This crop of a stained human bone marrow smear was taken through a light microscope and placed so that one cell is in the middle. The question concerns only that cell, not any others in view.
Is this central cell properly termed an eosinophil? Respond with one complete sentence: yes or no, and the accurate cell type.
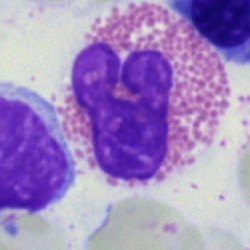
Yes, the cell occupying the center is an eosinophil.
